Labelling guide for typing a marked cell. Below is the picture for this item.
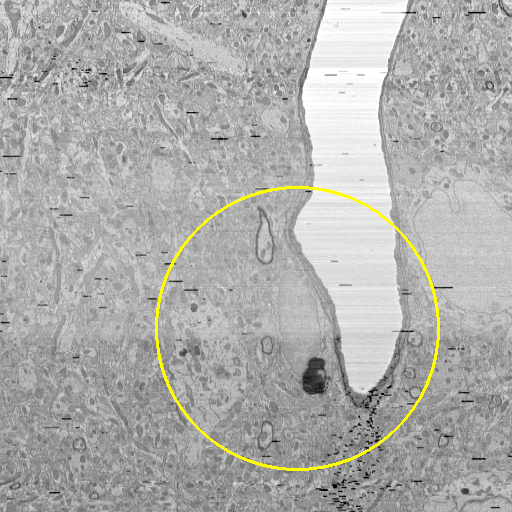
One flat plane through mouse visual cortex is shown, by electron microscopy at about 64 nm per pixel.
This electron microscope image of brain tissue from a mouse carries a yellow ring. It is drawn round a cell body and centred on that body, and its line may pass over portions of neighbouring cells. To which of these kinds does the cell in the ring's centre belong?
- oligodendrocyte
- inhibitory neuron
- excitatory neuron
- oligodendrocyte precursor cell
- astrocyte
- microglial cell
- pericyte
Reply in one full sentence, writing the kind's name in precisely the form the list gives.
Here we have a microglial cell at the centre of the yellow ring in the picture.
